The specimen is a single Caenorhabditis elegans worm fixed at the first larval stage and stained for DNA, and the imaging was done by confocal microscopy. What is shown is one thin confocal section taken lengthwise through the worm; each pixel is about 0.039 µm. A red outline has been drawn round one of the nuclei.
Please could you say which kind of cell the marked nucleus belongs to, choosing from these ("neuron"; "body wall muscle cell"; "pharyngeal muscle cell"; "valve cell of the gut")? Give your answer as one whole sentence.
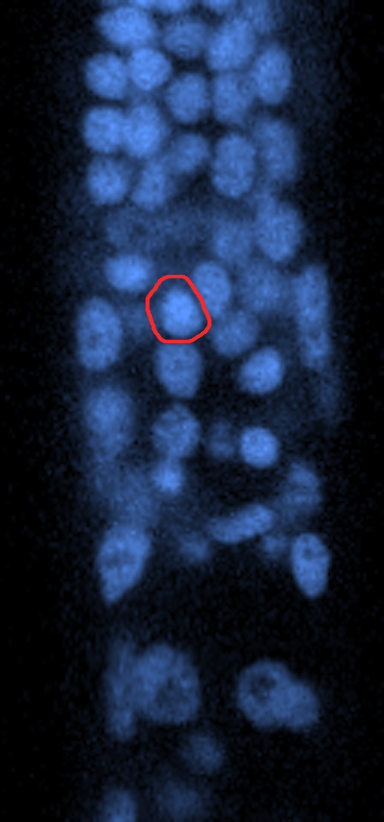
The marked nucleus belongs to a neuron.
